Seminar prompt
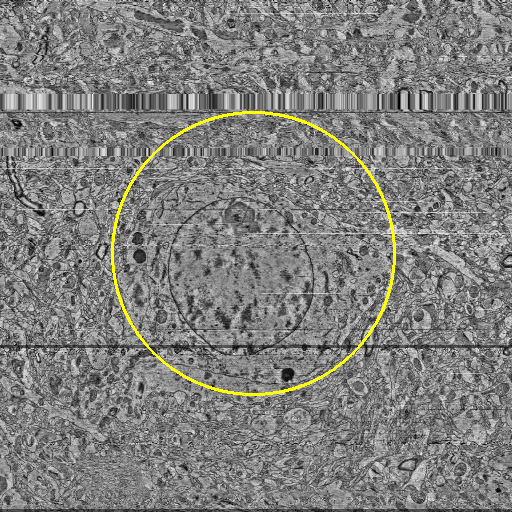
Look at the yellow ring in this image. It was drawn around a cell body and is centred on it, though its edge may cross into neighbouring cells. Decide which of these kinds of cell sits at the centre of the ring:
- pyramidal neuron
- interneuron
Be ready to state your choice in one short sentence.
The kind of cell at the ring's centre is a pyramidal neuron.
